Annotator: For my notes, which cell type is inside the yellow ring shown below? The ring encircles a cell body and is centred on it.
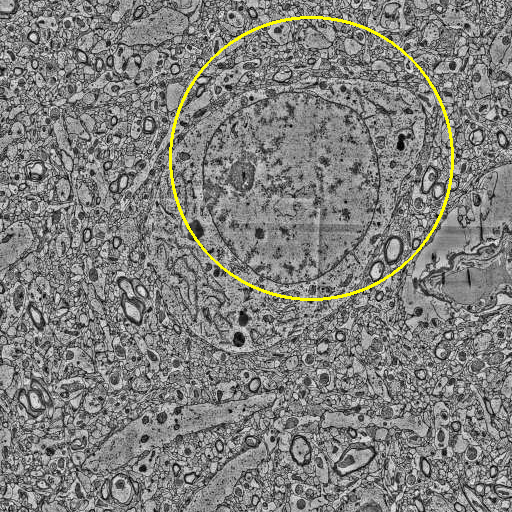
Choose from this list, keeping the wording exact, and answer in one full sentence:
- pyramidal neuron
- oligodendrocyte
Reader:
At the centre of the yellow ring there is a pyramidal neuron, as shown in the picture.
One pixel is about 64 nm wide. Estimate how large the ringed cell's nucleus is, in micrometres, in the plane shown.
Roughly 12 micrometers across in this plane.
